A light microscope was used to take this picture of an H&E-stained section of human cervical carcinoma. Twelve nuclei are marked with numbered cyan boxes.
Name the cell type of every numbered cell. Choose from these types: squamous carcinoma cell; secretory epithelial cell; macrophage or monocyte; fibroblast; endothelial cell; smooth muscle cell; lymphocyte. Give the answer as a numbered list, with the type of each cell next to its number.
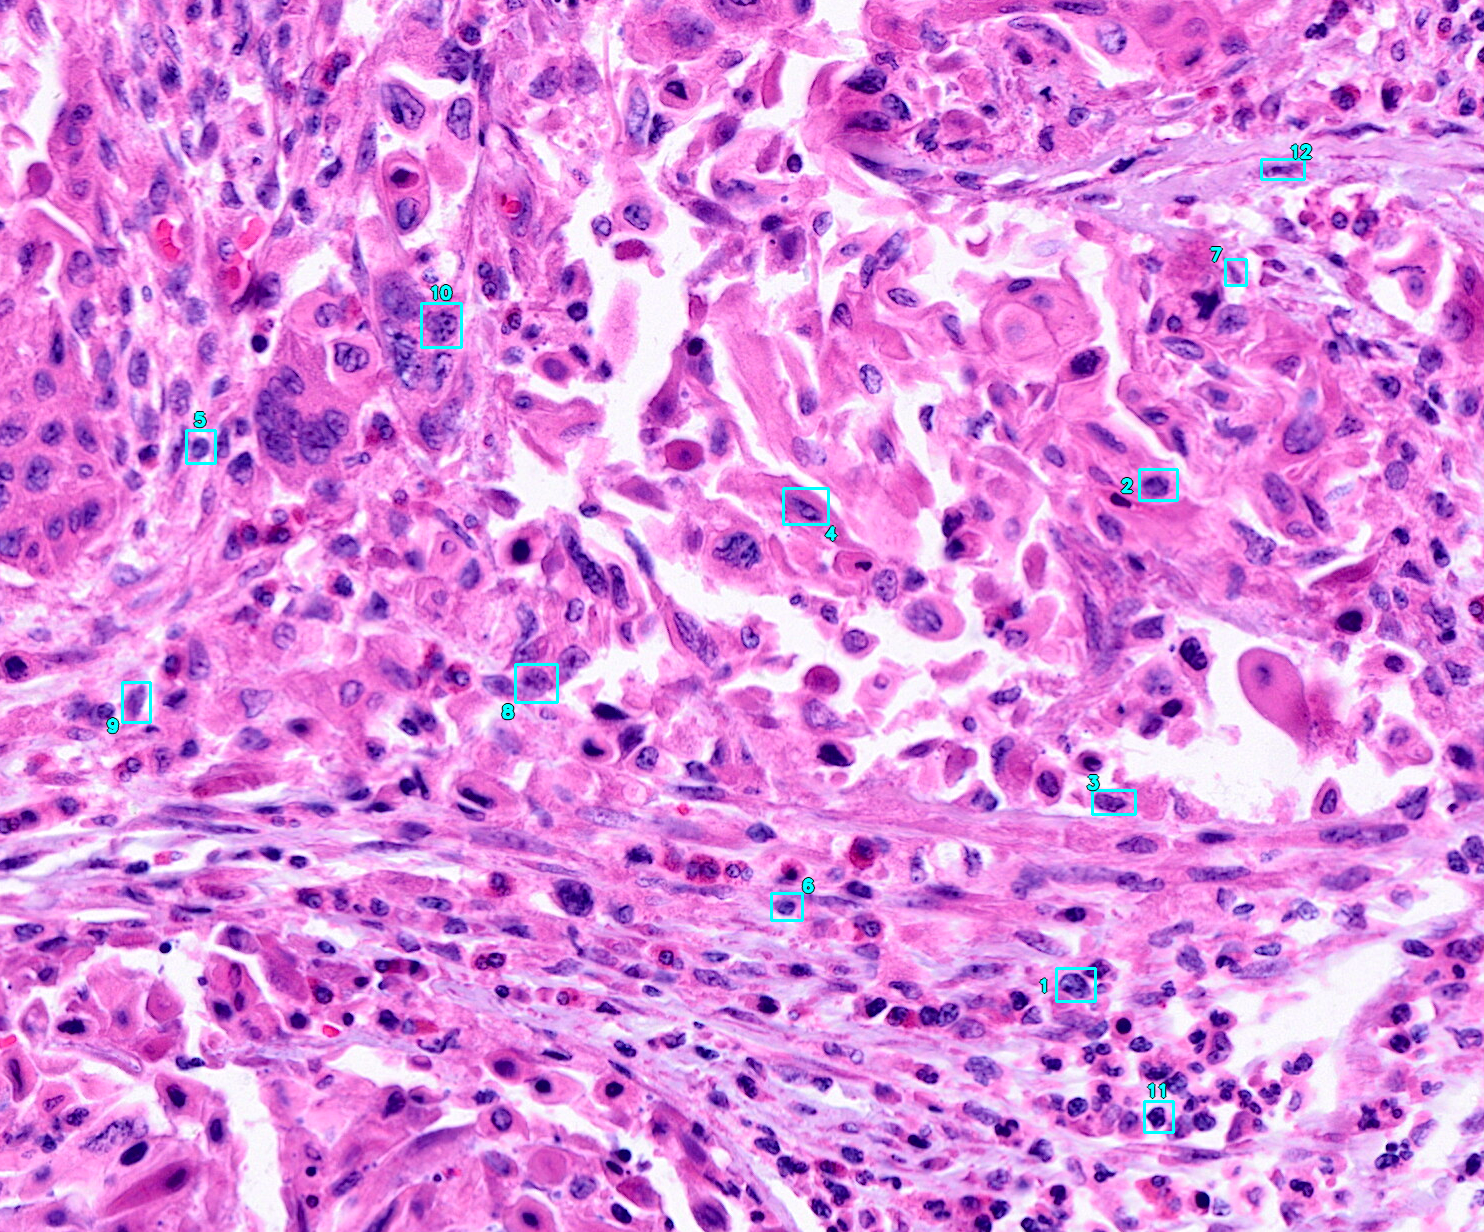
1. lymphocyte
2. squamous carcinoma cell
3. macrophage or monocyte
4. squamous carcinoma cell
5. lymphocyte
6. lymphocyte
7. fibroblast
8. macrophage or monocyte
9. macrophage or monocyte
10. squamous carcinoma cell
11. lymphocyte
12. fibroblast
